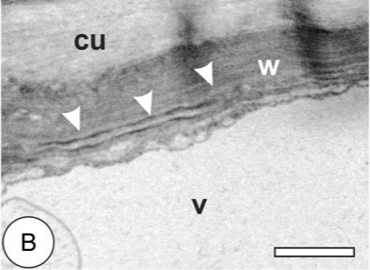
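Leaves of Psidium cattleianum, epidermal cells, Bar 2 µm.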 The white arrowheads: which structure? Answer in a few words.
polylamellate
